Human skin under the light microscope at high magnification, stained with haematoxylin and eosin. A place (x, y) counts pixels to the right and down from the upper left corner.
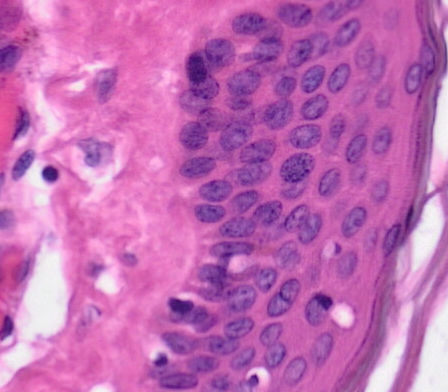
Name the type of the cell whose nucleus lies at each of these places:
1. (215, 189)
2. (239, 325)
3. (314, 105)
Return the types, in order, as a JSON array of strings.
["basal keratinocyte", "suprabasal keratinocyte", "suprabasal keratinocyte"]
